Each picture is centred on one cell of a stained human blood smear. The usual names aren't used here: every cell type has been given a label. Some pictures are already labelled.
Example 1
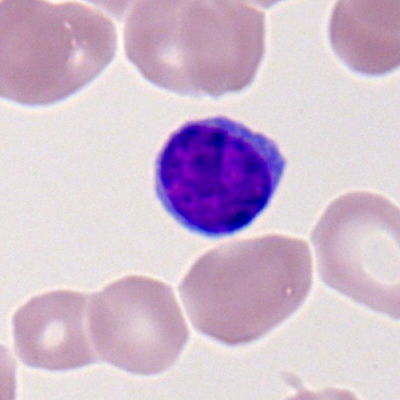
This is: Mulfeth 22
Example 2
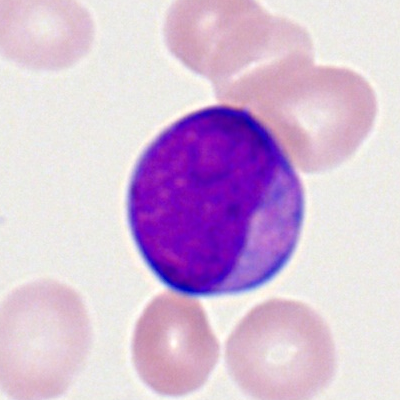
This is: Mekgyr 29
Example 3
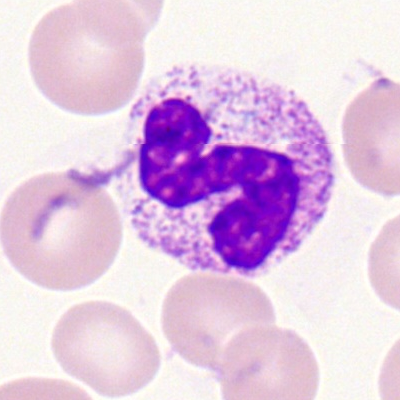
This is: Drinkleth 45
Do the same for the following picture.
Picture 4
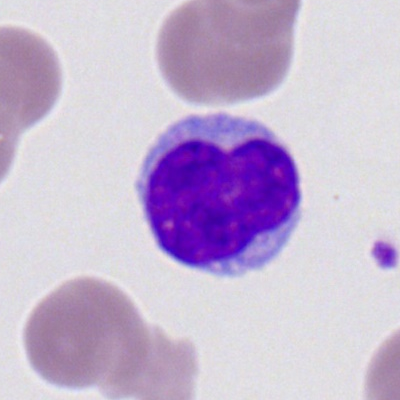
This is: Mulfeth 22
